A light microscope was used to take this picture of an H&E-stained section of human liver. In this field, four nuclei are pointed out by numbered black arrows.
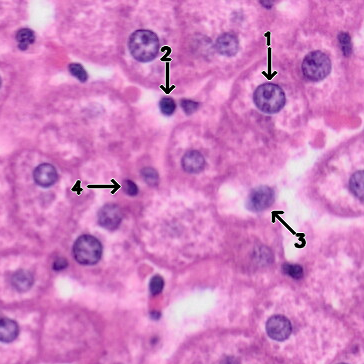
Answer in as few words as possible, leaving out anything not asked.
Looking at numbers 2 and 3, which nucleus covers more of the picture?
3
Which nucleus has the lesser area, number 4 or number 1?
4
